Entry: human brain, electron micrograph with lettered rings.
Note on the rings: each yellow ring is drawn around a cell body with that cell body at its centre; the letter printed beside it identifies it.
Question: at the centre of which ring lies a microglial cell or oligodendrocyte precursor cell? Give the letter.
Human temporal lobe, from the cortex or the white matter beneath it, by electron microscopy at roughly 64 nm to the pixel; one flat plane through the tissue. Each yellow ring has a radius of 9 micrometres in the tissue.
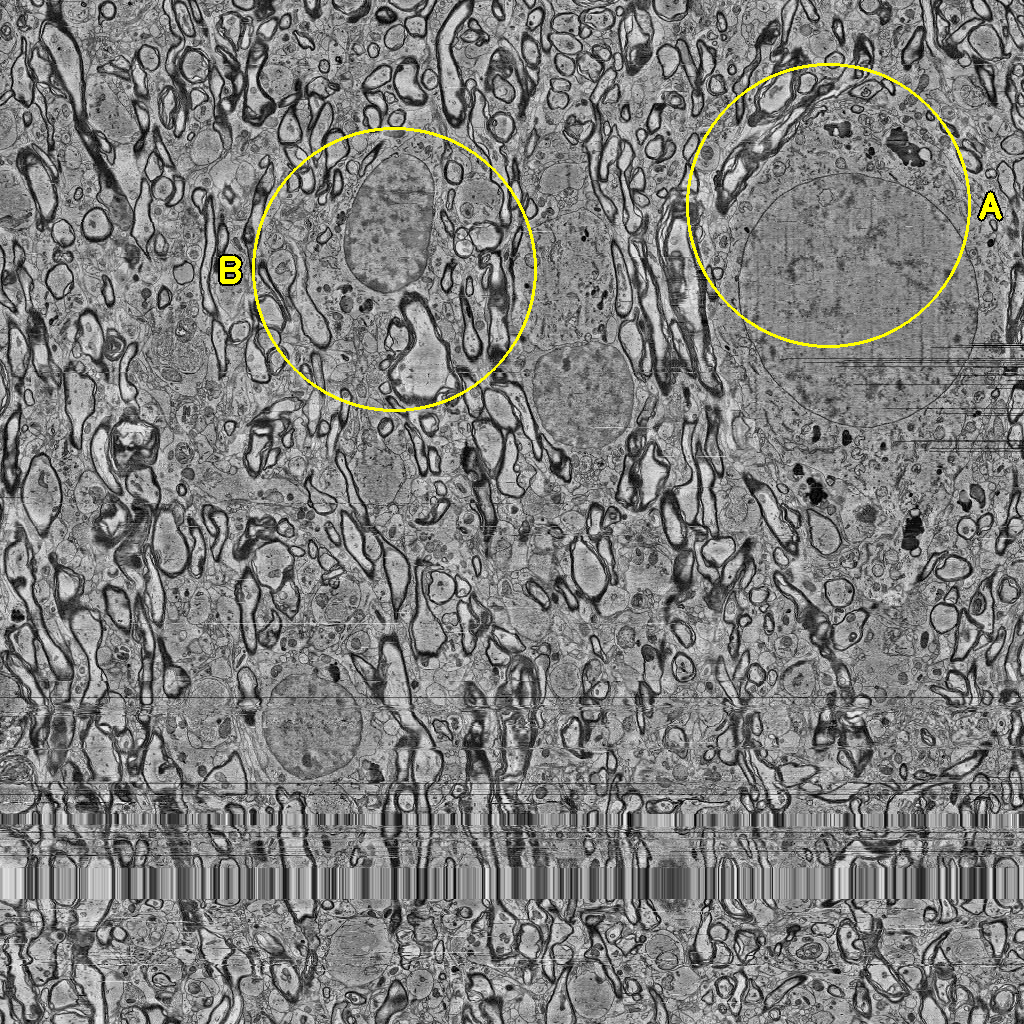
B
